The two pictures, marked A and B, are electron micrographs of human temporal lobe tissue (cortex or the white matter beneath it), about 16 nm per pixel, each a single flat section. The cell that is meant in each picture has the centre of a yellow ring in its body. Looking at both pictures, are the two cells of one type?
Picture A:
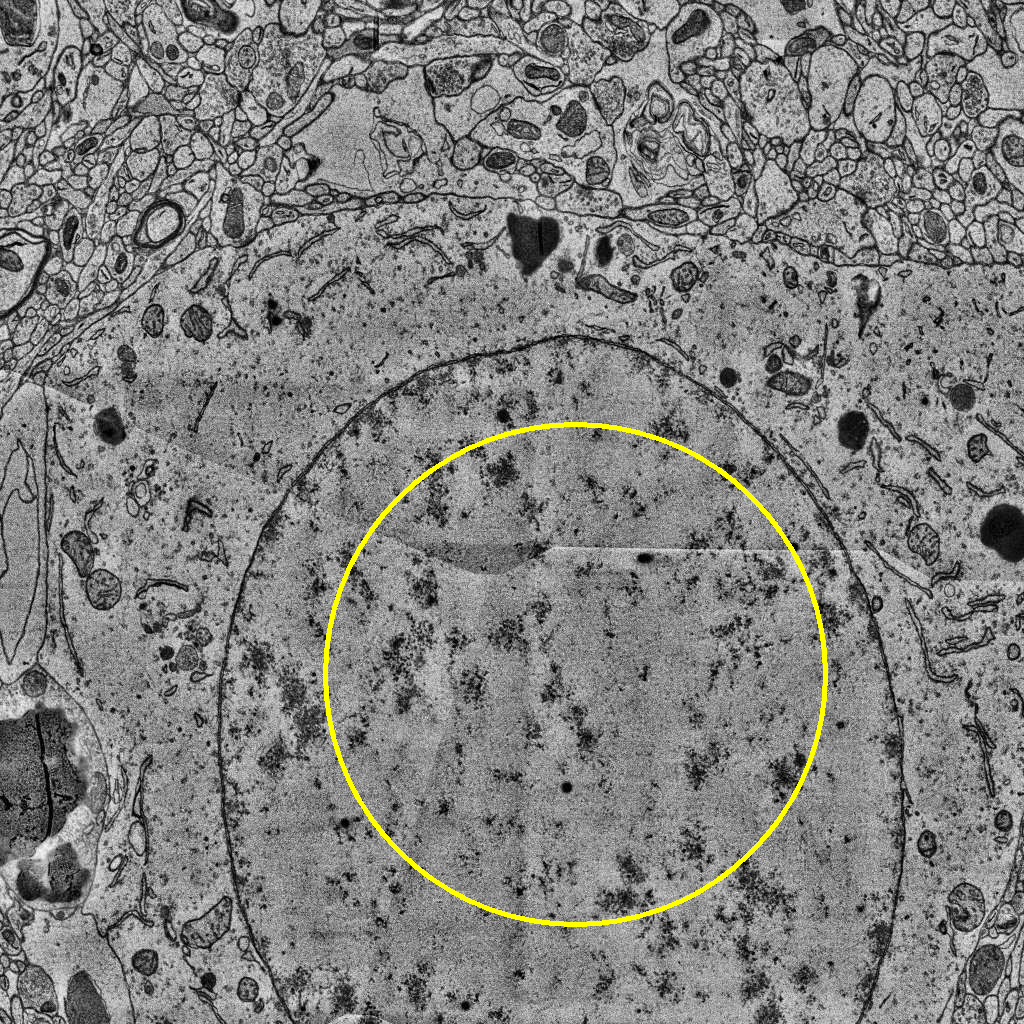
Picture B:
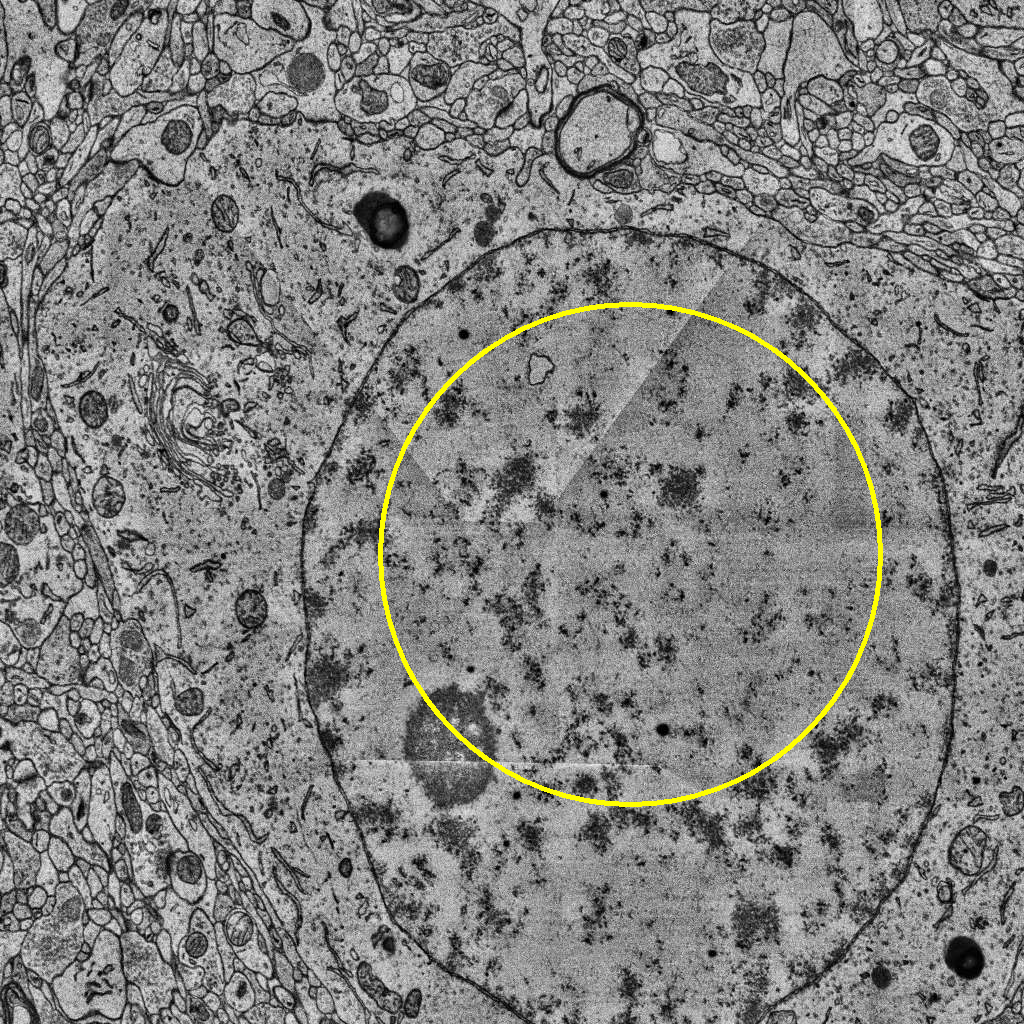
Yes, they are the same type: both are pyramidal neurons.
